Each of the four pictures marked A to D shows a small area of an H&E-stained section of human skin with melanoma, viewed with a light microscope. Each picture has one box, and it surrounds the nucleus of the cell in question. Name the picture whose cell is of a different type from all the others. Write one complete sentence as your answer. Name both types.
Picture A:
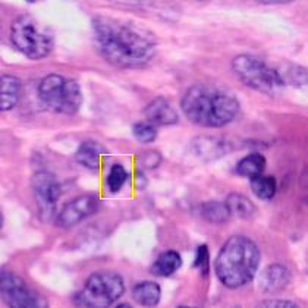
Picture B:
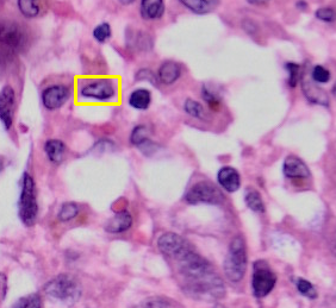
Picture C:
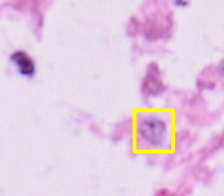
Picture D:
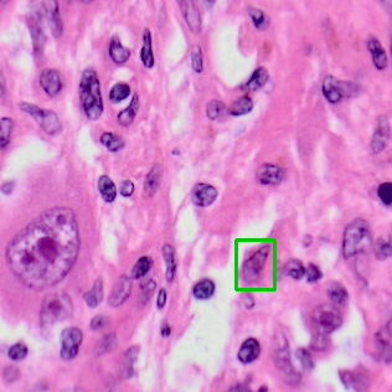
Picture A is the odd one out: it shows a lymphocyte, while the others show “macrophages or monocytes”.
